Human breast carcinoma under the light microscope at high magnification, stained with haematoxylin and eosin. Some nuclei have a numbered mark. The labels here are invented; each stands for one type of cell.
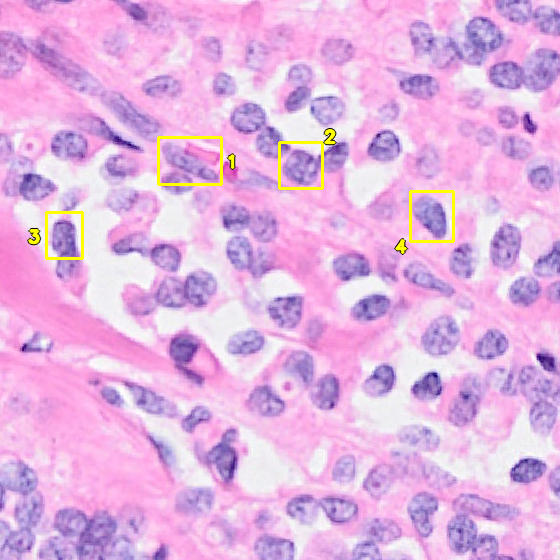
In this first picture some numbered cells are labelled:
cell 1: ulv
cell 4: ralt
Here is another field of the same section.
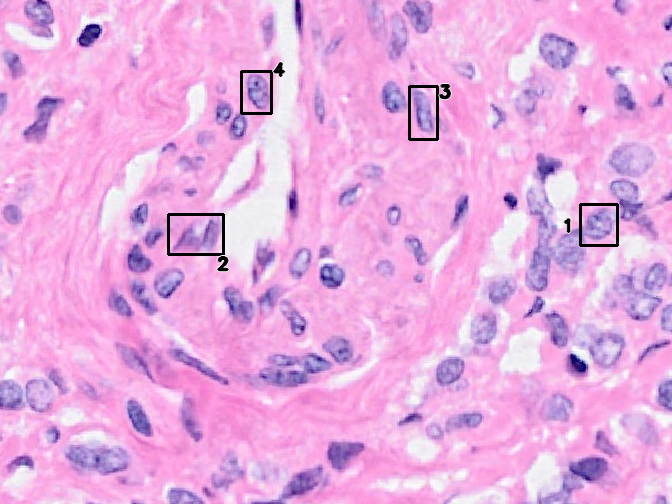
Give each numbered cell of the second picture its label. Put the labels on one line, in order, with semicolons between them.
ralt; ulv; ulv; ulv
